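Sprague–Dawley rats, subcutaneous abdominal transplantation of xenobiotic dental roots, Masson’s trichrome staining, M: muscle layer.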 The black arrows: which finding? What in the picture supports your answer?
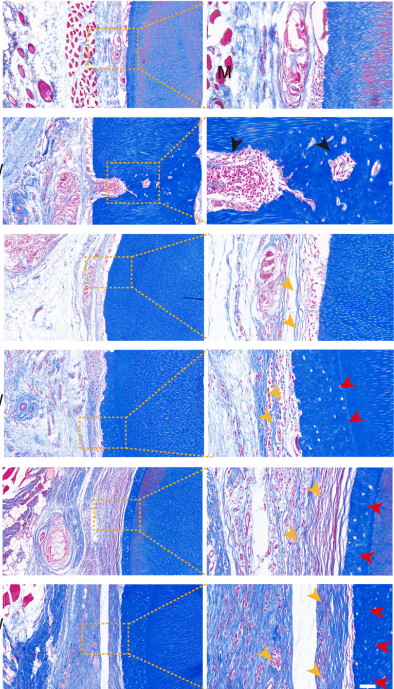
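Absorption. The black arrows mark cavities eroded into the blue root matrix. One cavity is filled with red-stained cells and blood cells. The cavity margins are irregular.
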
